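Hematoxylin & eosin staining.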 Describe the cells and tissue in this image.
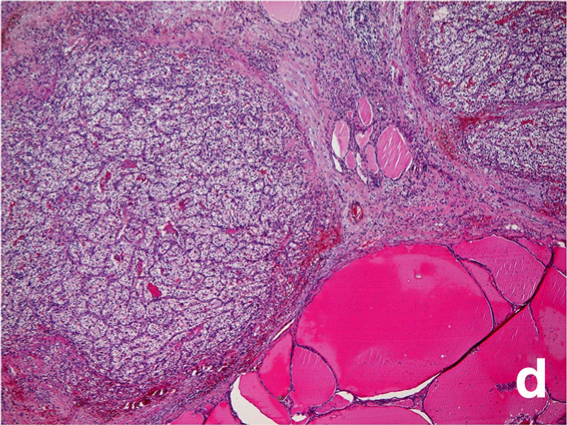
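Large rounded nests of tumor cells occupy the left and upper right; the cells have abundant pale, clear cytoplasm and small dark purple nuclei, grouped in small alveolus-like clusters divided by delicate septa carrying thin red-filled blood vessels. A band of fibrous stroma with scattered cells runs between the nests and contains a few small follicles filled with pink colloid. In the lower right, normal thyroid follicles of varying size are filled with homogeneous pink colloid, some cracked, lined by a thin flat epithelium. No calcifications are seen.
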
